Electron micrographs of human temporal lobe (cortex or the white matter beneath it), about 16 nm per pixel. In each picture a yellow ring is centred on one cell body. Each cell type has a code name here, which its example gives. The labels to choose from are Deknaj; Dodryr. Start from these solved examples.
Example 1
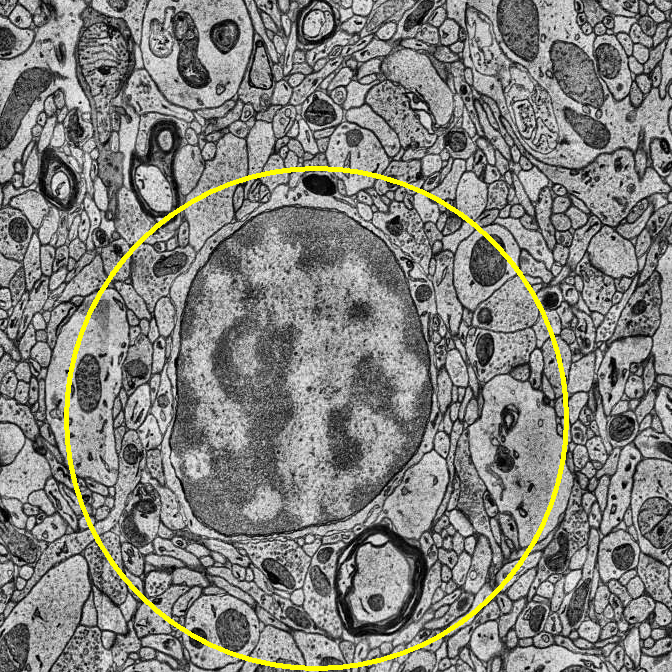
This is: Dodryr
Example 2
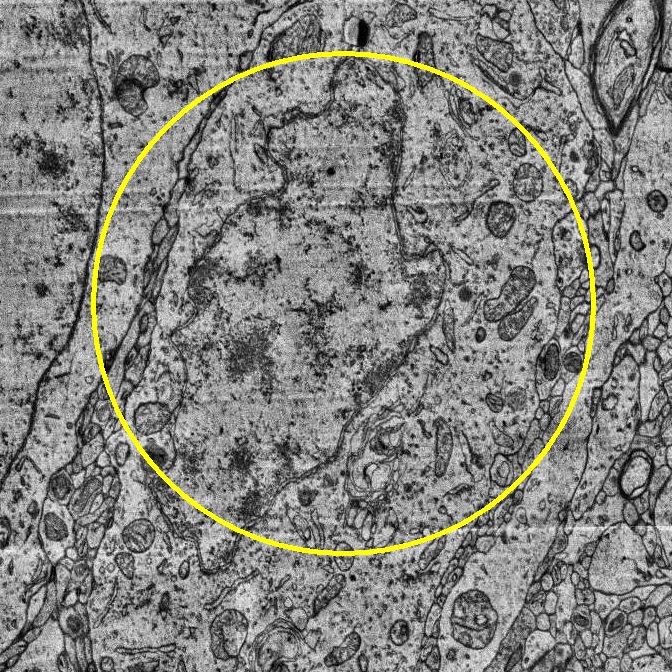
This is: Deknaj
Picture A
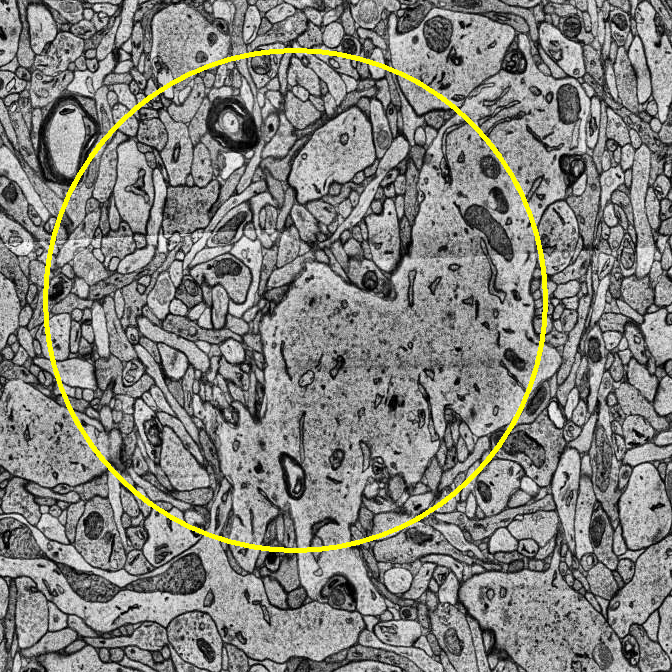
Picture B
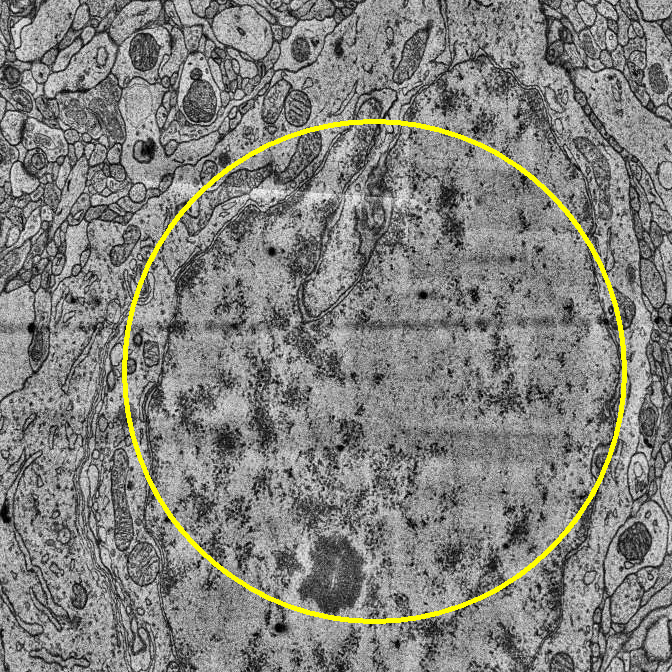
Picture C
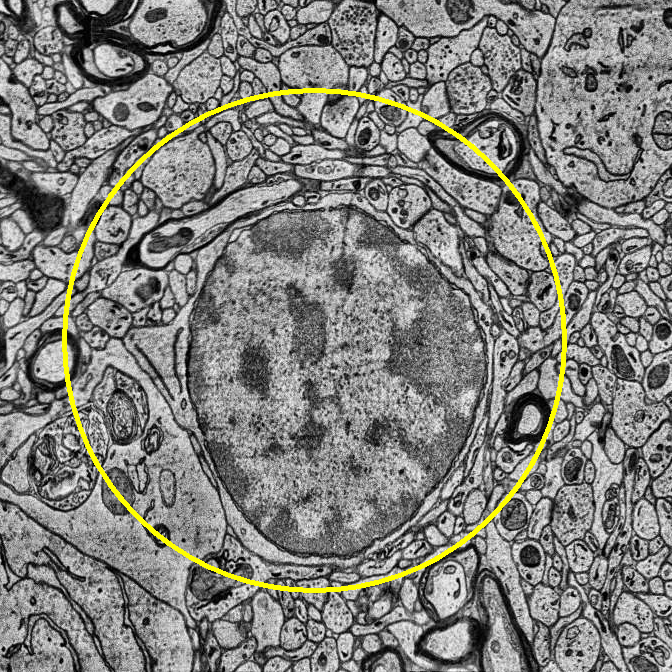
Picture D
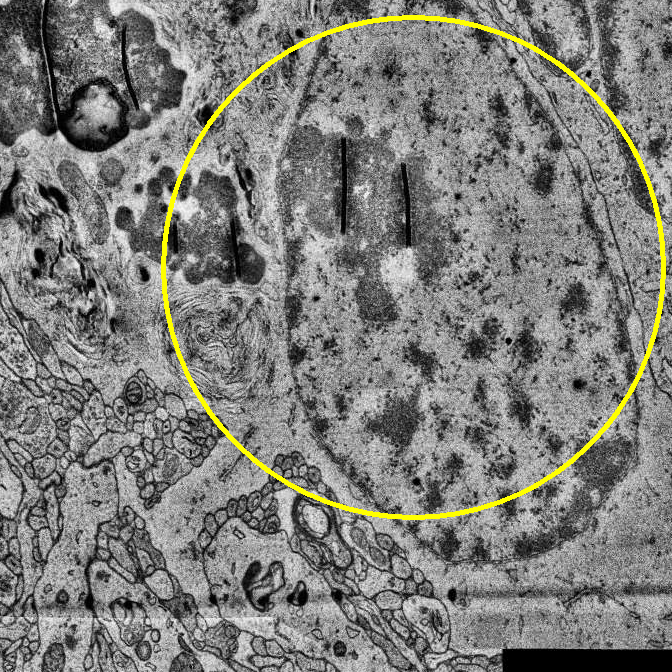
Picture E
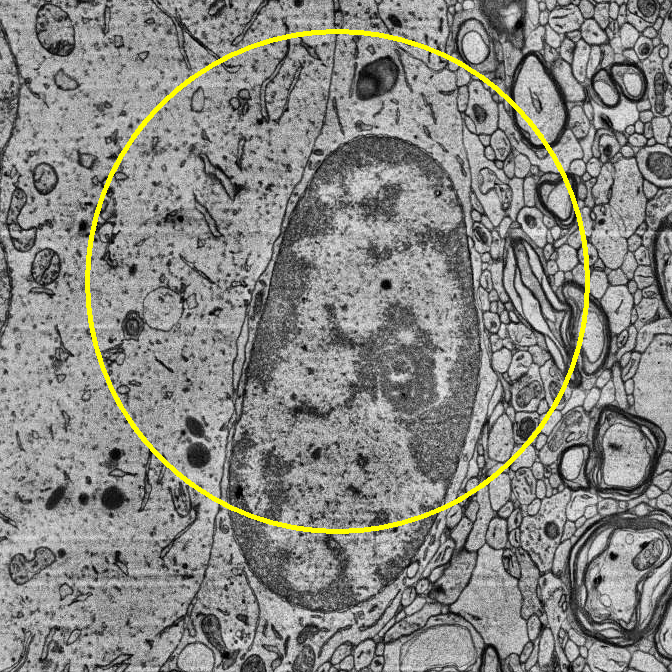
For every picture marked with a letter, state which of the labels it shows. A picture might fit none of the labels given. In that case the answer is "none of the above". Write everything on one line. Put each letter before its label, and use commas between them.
A Dodryr, B Deknaj, C Dodryr, D none of the above, E Dodryr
